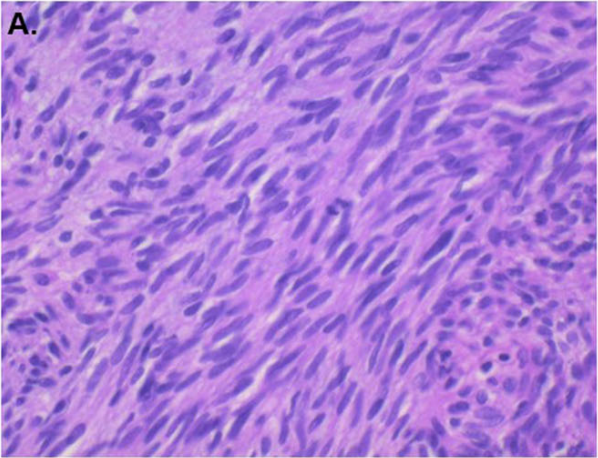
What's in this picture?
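This is a cellular tumour made of spindle cells arranged in parallel, streaming fascicles. The nuclei are dark purple, elongated and cigar-shaped with blunt ends, closely packed, and set in pale pink, finely fibrillary cytoplasm with indistinct cell borders.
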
